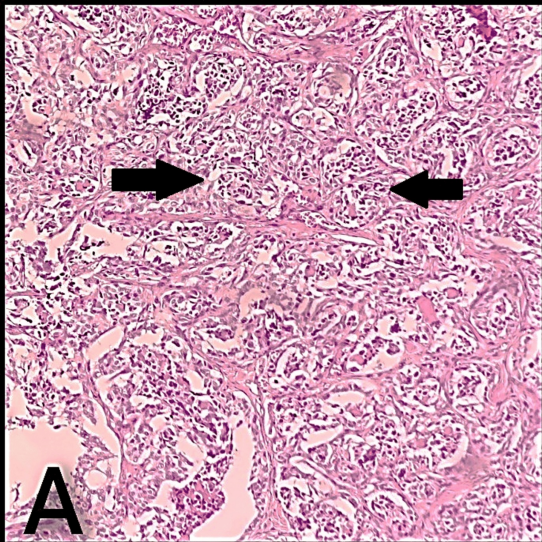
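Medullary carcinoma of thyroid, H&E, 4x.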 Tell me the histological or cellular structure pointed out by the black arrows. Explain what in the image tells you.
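Tumour cells form rounded clusters separated by thin pink fibrous septa. Some clusters are elongated into strands.
Conclusion: nests and cords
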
